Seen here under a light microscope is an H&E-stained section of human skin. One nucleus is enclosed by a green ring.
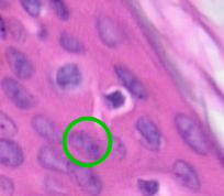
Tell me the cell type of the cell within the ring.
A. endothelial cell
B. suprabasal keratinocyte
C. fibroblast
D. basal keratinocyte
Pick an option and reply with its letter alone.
B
